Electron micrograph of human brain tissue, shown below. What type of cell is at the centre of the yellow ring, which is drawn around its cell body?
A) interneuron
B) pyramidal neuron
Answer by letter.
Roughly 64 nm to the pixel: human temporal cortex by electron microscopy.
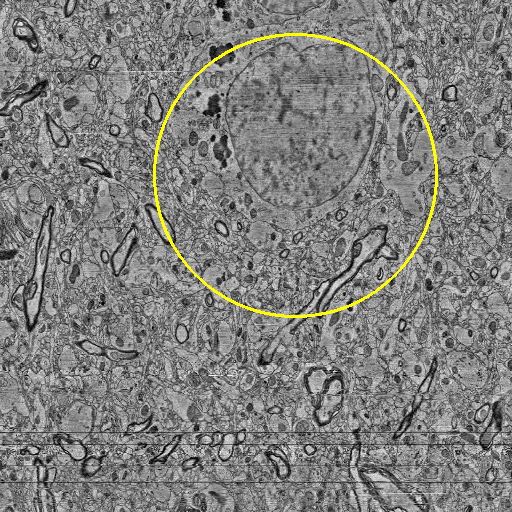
A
